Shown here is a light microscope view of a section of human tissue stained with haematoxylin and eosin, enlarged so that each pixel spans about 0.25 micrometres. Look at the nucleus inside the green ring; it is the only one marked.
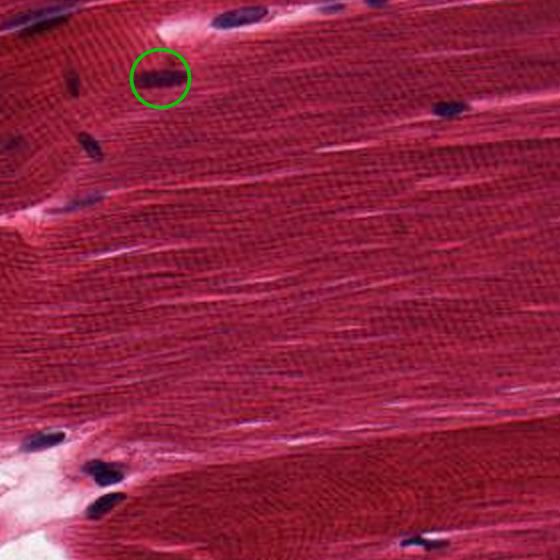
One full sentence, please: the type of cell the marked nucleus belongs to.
It is to a skeletal muscle fibre that the marked nucleus belongs.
